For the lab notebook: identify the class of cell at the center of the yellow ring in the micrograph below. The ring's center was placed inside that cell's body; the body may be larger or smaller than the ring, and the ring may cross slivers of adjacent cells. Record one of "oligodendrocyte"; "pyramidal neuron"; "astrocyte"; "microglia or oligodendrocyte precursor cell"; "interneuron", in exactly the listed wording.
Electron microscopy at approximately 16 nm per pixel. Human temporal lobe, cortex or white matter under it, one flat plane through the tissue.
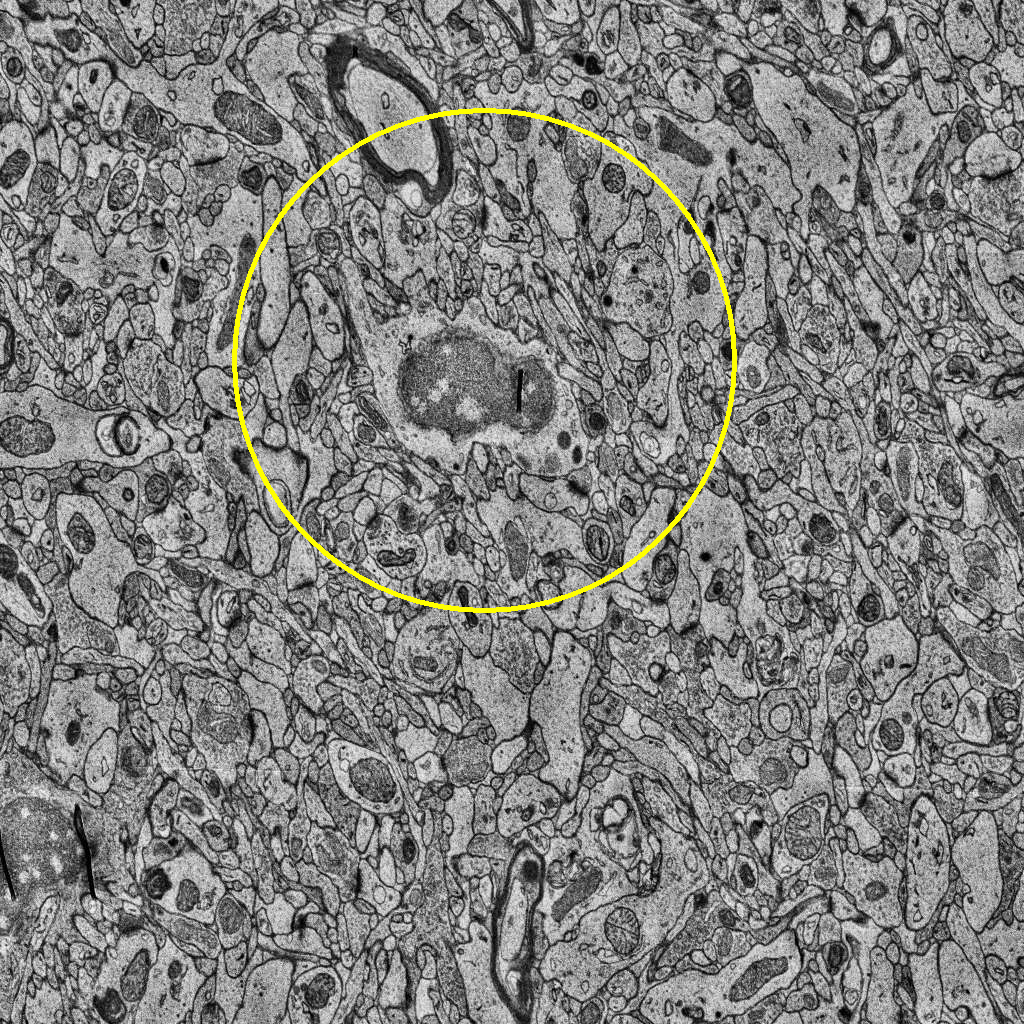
microglia or oligodendrocyte precursor cell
